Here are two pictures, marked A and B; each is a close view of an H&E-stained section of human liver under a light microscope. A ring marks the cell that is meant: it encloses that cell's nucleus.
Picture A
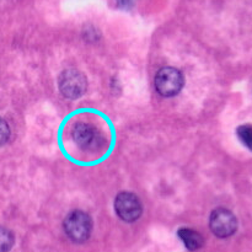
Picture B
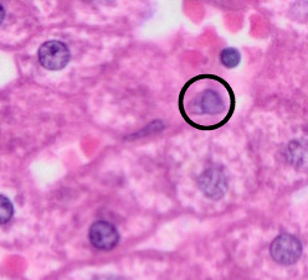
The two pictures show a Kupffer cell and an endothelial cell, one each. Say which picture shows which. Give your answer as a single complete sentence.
Picture B shows a Kupffer cell, while picture A shows an endothelial cell.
